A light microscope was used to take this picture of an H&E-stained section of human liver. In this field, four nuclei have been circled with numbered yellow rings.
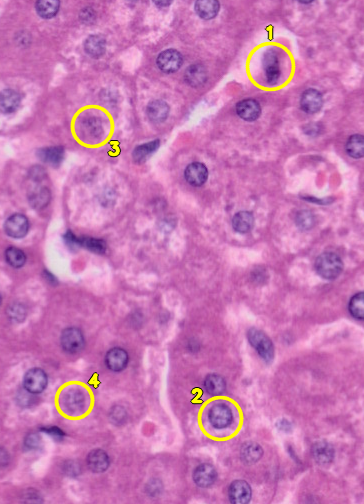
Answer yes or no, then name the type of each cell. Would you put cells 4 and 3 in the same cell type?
Yes, cells 4 and 3 both fall under hepatocytes.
